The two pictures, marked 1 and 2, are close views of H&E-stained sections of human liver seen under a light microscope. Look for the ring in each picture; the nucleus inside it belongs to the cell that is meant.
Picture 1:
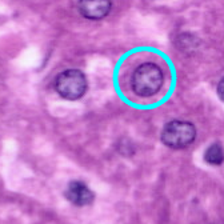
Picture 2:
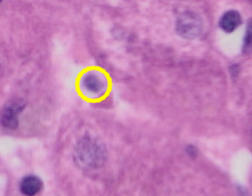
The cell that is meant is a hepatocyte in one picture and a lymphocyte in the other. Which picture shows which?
1: hepatocyte
2: lymphocyte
